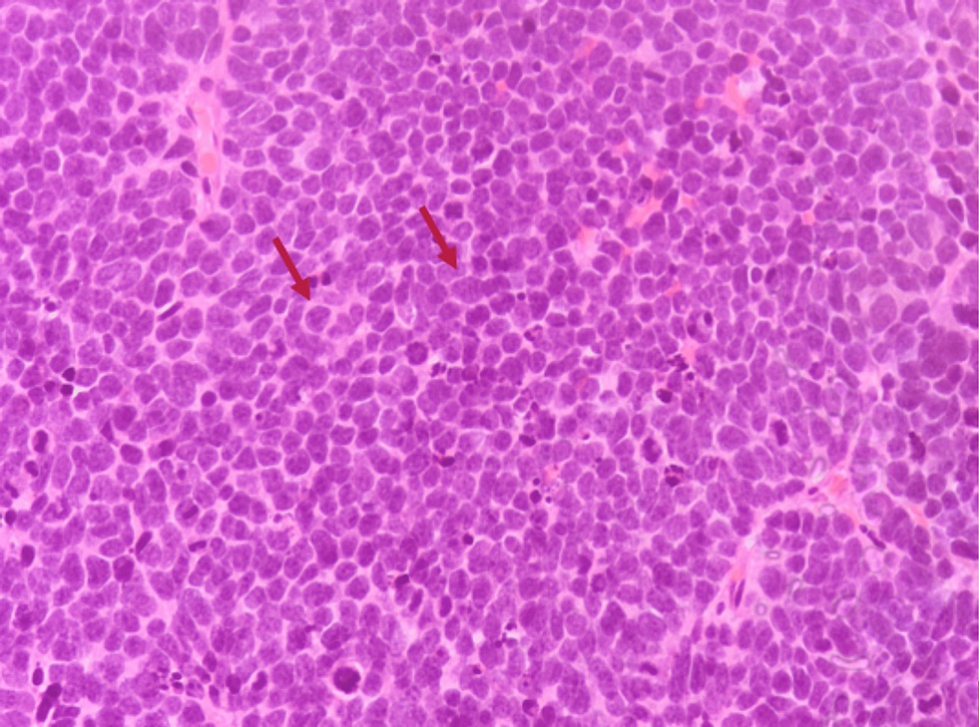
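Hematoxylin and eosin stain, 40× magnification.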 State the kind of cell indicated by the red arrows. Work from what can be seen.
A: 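The marked cells have large, round to oval purple nuclei. Very little cytoplasm surrounds each nucleus. The cells lie in densely packed sheets with nuclei pressed against one another. On this evidence: malignant cells.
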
